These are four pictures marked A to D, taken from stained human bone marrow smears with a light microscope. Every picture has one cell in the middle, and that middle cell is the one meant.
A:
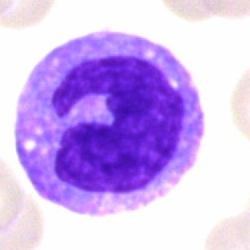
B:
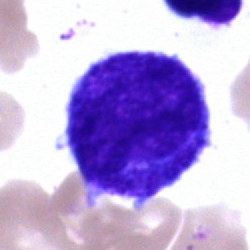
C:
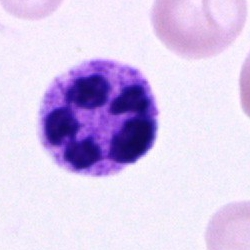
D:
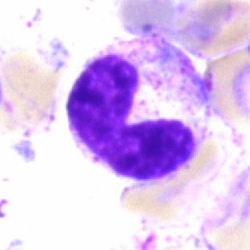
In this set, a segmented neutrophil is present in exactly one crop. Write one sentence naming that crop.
Crop C is the one depicting a segmented neutrophil.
